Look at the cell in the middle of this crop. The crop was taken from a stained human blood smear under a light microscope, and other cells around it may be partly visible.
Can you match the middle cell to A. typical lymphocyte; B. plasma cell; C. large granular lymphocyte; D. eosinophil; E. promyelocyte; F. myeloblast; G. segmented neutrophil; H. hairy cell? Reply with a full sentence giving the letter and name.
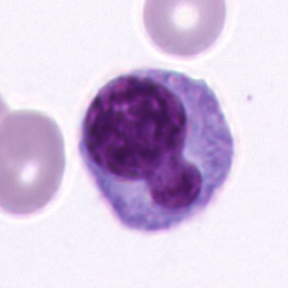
At the centre of the crop lies a plasma cell, which makes option B correct.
